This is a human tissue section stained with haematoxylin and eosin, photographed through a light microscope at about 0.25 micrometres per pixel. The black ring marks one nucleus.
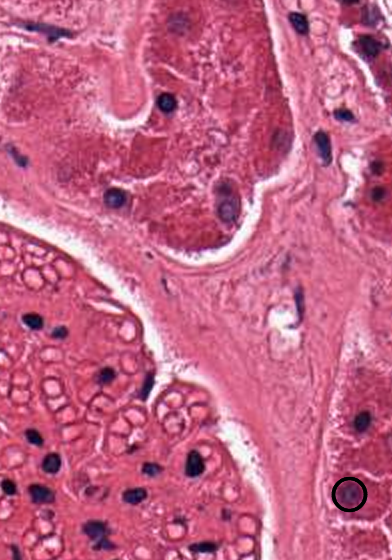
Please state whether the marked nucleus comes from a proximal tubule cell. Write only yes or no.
yes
